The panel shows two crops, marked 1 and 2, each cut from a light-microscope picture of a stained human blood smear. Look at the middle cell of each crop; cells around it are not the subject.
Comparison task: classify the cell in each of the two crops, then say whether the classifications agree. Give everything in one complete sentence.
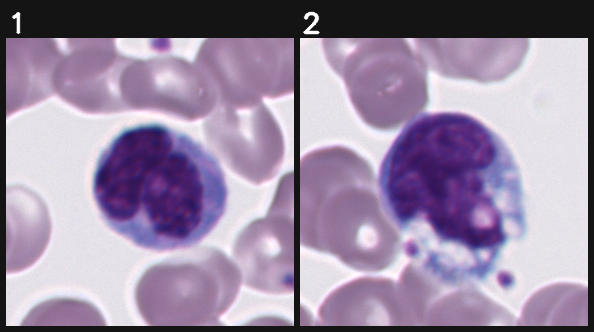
Yes, the crops both have monocytes in the middle.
